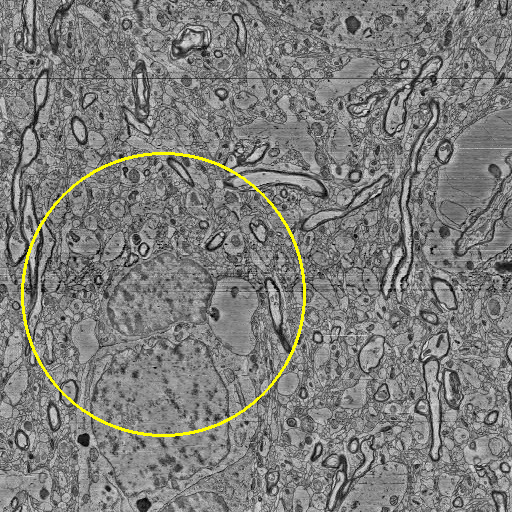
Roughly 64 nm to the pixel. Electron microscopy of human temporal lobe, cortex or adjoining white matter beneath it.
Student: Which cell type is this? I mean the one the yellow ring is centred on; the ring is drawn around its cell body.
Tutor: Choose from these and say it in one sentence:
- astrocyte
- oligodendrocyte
The cell the ring is centred on is an oligodendrocyte.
